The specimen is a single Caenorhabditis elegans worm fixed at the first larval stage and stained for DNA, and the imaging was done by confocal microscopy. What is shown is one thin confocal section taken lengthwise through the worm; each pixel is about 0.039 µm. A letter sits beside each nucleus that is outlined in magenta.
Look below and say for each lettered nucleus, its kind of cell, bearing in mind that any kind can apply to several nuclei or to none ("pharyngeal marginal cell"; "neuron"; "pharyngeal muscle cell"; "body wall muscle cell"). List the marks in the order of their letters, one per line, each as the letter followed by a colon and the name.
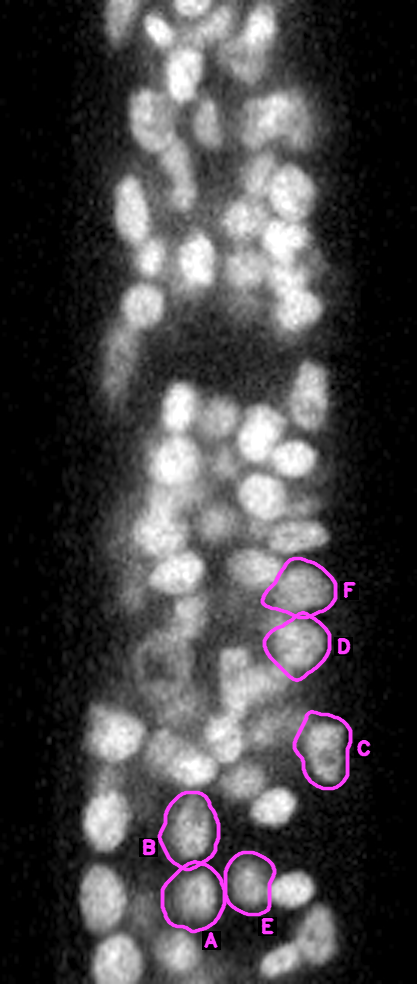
A: pharyngeal muscle cell
B: pharyngeal muscle cell
C: body wall muscle cell
D: neuron
E: pharyngeal marginal cell
F: neuron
